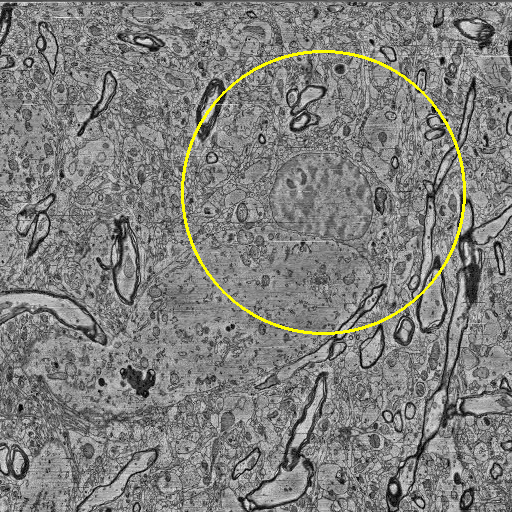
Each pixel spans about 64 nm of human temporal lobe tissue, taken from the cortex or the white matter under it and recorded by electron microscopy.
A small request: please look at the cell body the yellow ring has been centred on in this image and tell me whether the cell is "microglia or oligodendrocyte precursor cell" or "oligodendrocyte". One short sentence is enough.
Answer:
The cell marked by the ring is an oligodendrocyte.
